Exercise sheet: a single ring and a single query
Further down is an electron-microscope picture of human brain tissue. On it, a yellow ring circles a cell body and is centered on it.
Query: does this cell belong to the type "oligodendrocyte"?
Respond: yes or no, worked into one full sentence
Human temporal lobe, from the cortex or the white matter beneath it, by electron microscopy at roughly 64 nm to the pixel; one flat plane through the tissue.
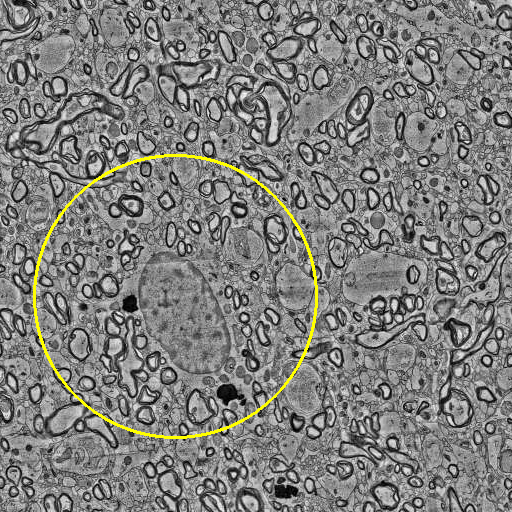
Yes, this ringed cell, found at the center of the ring in the picture, is of that type.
